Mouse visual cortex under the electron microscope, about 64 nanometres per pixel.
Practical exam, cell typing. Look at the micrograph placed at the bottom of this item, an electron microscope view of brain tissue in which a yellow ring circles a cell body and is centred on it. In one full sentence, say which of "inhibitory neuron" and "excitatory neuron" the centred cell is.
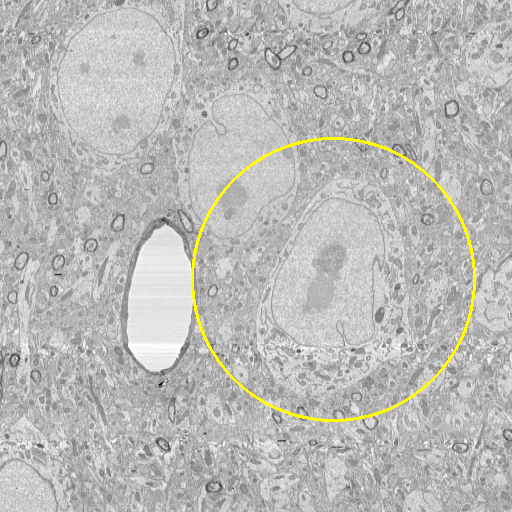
Given the options, an inhibitory neuron fits the cell whose body the yellow ring is centred on.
